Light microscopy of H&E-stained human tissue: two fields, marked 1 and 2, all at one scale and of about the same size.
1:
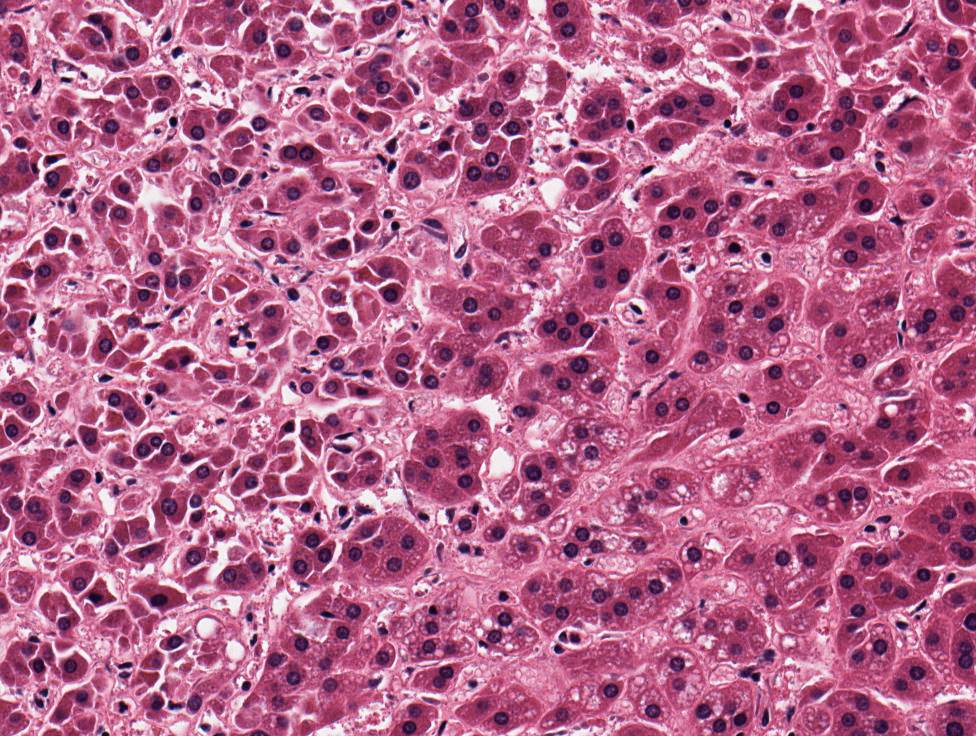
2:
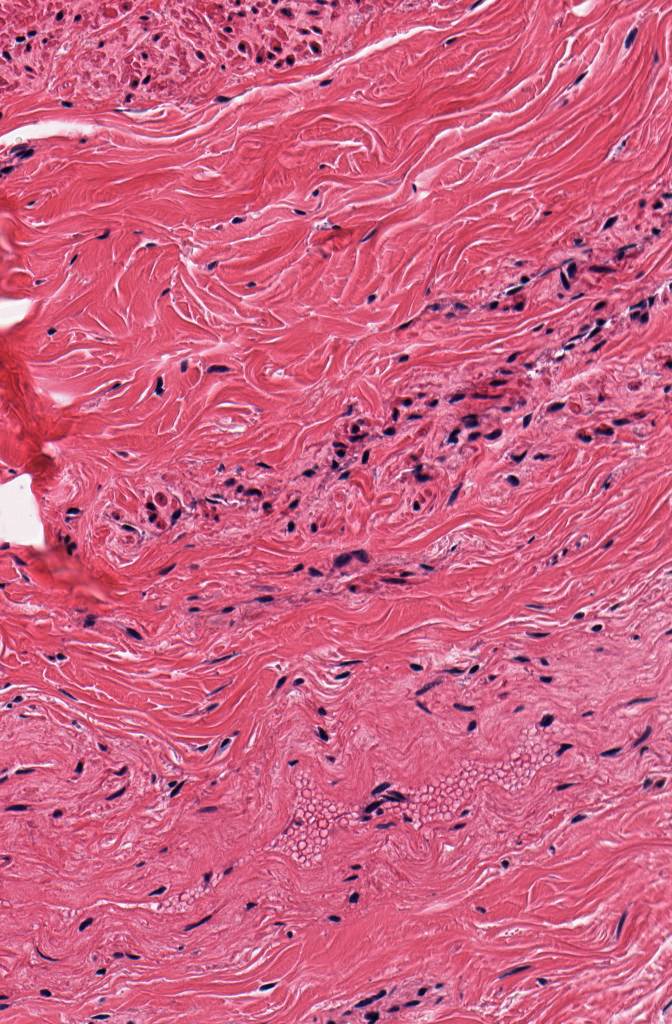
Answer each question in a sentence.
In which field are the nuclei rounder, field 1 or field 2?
The nuclei are rounder in field 1.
